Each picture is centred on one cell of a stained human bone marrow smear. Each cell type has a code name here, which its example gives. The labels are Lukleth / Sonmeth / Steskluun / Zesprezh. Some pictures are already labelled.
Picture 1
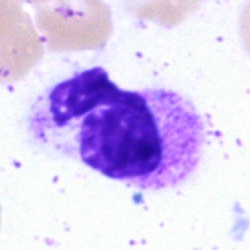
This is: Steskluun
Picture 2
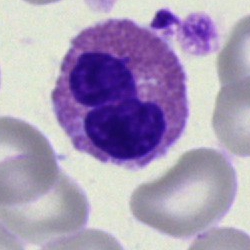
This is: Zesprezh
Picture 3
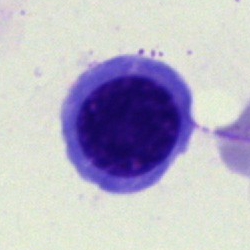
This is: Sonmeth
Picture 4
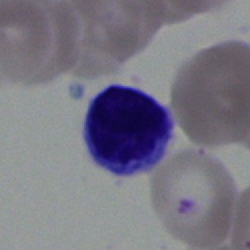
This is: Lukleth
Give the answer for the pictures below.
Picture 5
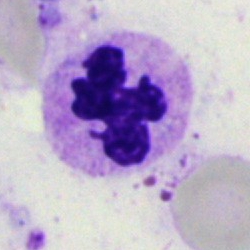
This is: Steskluun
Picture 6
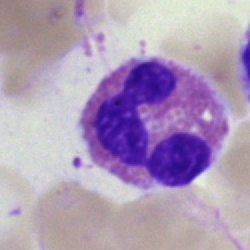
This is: Zesprezh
